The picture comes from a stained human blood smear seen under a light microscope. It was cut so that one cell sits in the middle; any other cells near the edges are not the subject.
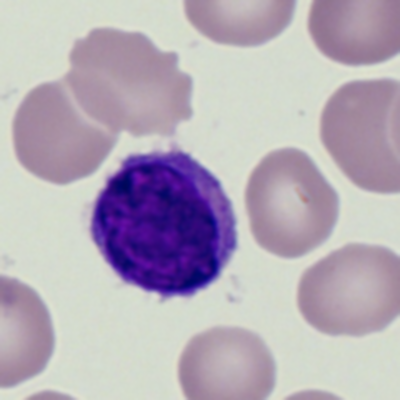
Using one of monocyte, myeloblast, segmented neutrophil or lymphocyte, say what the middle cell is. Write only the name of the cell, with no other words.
lymphocyte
